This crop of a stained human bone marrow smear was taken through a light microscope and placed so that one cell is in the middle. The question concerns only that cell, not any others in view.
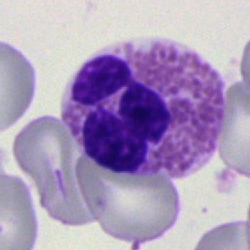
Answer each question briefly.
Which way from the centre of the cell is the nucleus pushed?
left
